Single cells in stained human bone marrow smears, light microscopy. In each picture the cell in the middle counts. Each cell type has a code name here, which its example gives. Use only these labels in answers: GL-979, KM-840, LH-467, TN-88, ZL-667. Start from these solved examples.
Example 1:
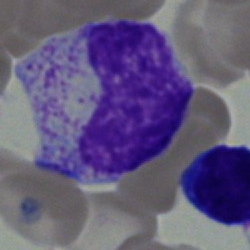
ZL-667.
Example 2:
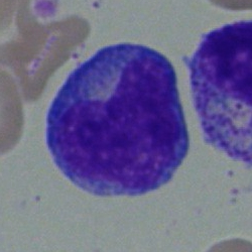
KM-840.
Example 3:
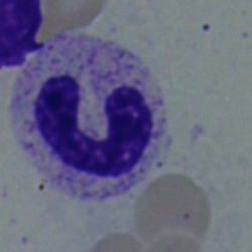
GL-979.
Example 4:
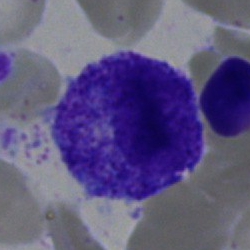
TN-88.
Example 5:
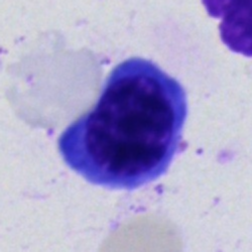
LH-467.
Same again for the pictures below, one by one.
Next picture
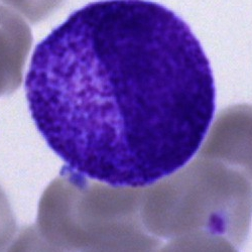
TN-88.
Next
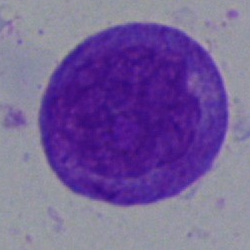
TN-88.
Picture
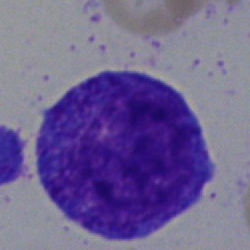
TN-88.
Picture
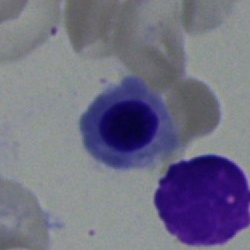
LH-467.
